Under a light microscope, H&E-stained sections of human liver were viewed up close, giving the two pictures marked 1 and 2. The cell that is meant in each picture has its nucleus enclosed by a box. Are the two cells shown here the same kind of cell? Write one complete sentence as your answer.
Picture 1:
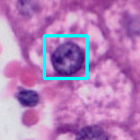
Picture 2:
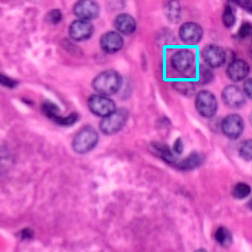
No, the types are not the same, since picture 1 shows a hepatocyte and picture 2 a cholangiocyte.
